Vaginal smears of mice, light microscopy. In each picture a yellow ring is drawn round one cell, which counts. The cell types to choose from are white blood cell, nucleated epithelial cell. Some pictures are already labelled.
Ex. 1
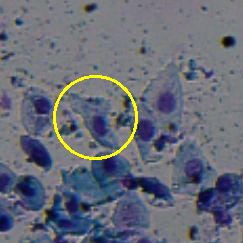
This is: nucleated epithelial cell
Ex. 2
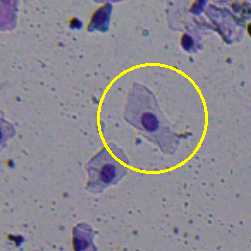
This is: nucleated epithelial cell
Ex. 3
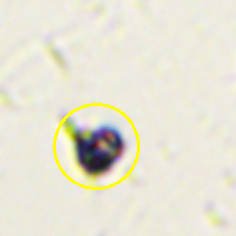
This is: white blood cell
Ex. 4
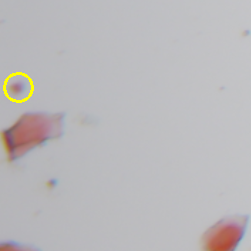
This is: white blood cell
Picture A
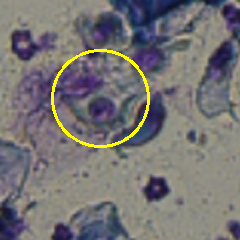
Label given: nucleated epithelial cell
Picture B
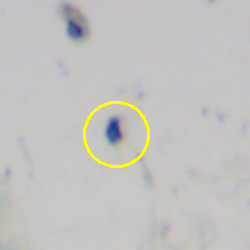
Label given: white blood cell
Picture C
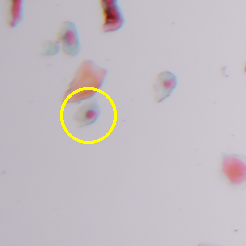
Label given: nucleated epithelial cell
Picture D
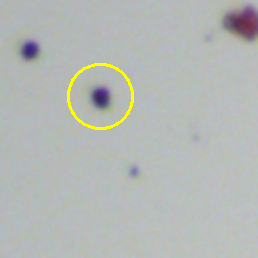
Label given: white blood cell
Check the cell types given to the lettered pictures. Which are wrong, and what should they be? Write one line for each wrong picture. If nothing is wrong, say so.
All correct.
